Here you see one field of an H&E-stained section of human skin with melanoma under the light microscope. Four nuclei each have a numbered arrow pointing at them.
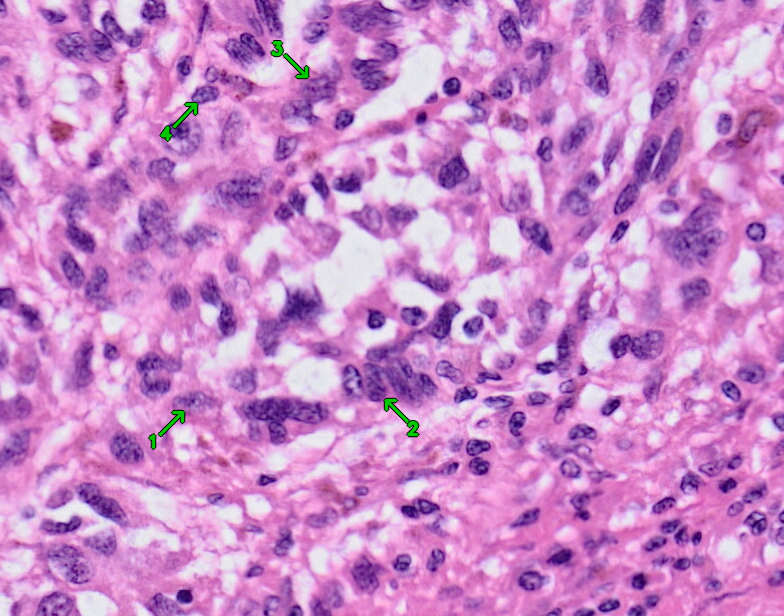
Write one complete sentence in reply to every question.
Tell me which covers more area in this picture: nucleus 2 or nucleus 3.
Nucleus 3 covers more area, about 2 times as much as nucleus 2.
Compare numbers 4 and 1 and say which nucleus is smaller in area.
With nucleus 1 about 1.5 times its size, nucleus 4 is the smaller of the two.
